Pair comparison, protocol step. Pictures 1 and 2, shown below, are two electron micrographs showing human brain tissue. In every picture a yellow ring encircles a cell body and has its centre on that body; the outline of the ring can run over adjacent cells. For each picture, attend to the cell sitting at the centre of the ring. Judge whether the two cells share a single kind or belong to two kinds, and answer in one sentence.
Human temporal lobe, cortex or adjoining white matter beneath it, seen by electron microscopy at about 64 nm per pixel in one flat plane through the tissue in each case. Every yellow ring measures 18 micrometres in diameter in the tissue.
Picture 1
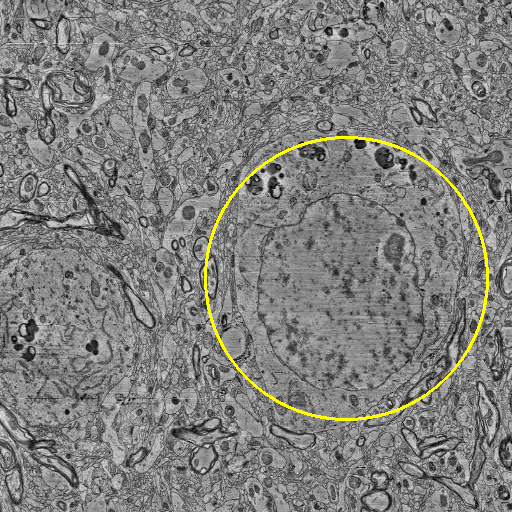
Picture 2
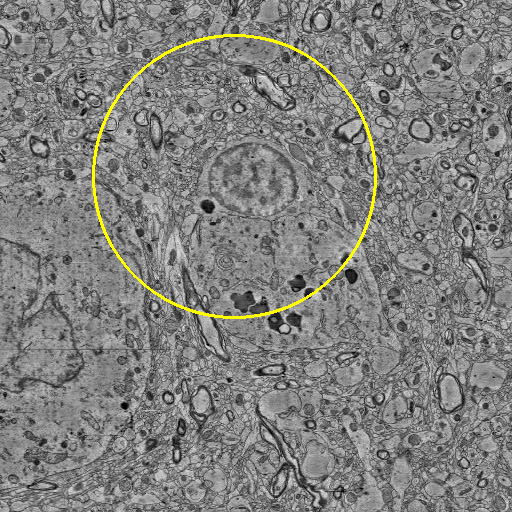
The two cells at the ring centres in Picture 1 and Picture 2 belong to two kinds.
